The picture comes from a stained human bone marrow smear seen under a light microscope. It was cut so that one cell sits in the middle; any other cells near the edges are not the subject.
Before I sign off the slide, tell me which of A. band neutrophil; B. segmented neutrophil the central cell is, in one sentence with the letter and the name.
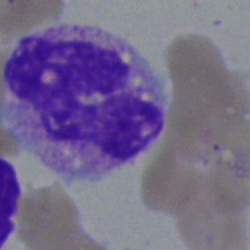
The one to choose is option A, as the cell in the middle is a band neutrophil.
